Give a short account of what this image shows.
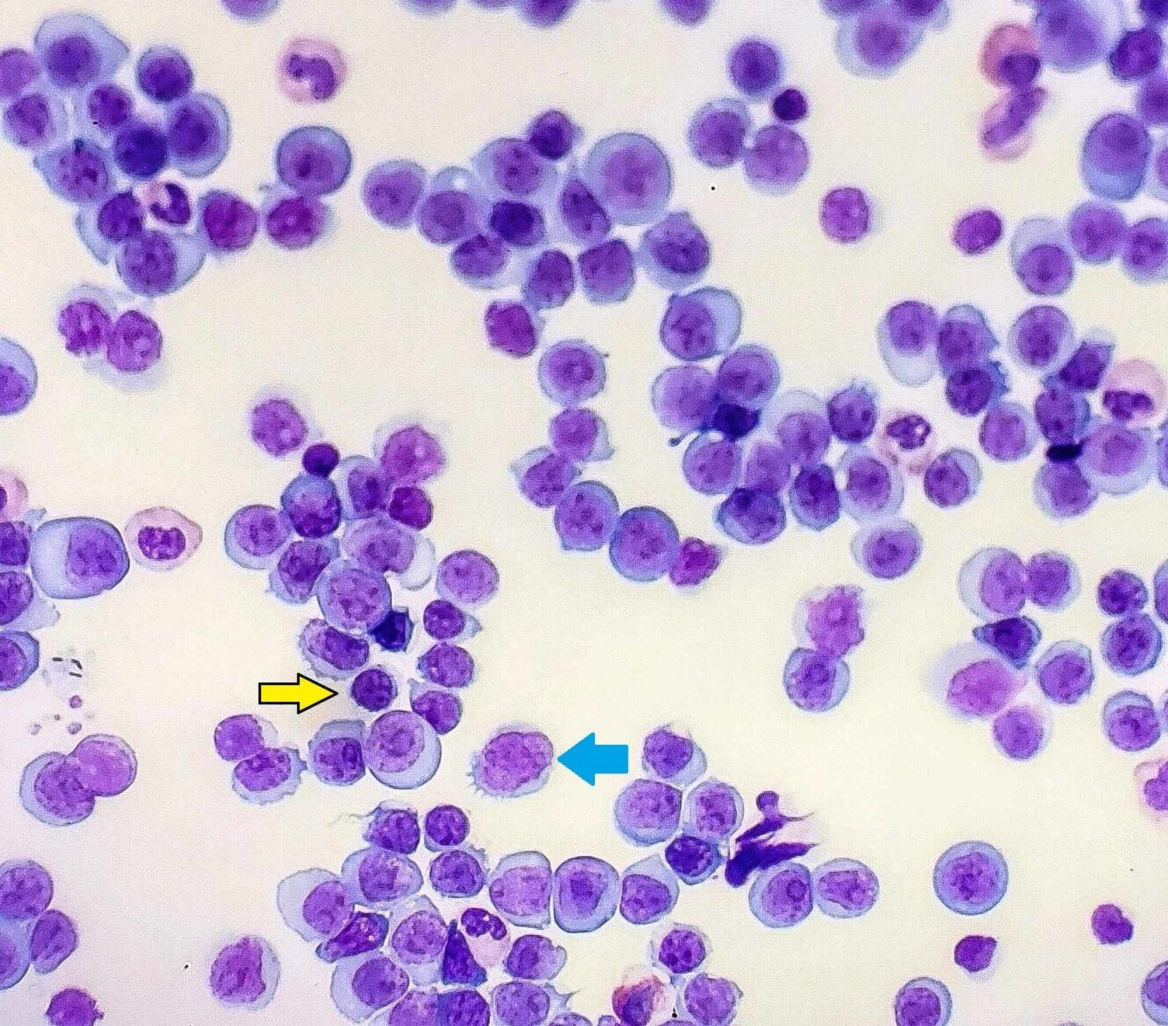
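A smear of abnormal large lymphoid cells with medium to large ovoid nuclei, fine purple chromatin and a rim of pale blue cytoplasm, lying singly and in loose clusters. Scattered among them are smaller lymphocytes with dense dark round nuclei and scant cytoplasm, so that the cells differ clearly in size. A few neutrophils with lobed nuclei are also present.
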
